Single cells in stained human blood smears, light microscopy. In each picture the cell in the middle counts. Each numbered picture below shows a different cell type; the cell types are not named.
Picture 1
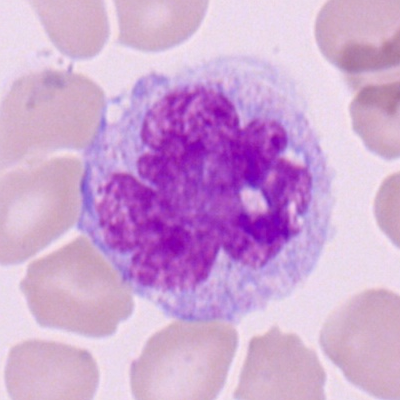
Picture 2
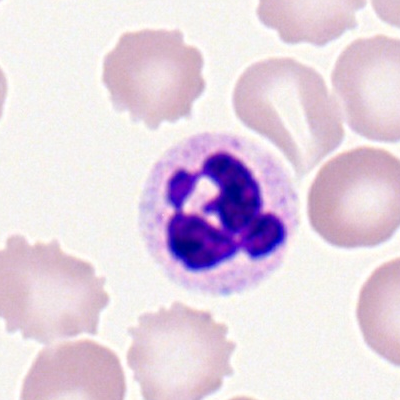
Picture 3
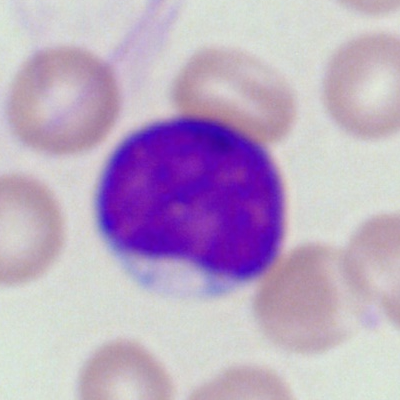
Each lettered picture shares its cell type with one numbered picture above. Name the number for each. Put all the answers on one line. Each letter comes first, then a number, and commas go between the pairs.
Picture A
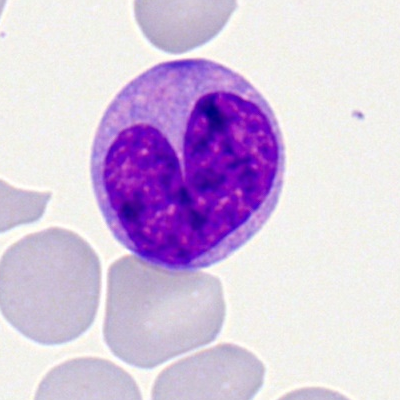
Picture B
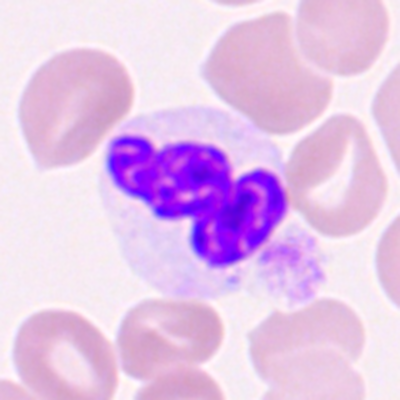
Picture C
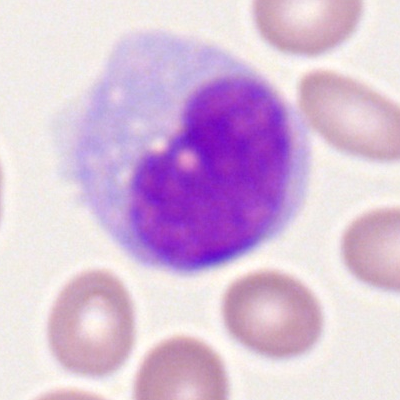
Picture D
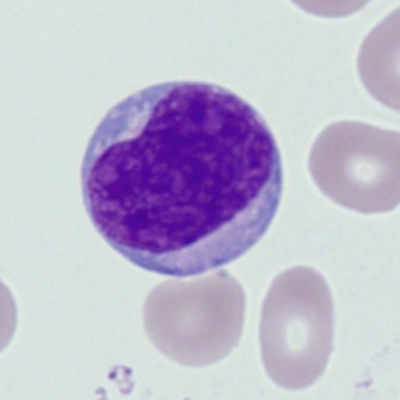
A 1, B 2, C 1, D 3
